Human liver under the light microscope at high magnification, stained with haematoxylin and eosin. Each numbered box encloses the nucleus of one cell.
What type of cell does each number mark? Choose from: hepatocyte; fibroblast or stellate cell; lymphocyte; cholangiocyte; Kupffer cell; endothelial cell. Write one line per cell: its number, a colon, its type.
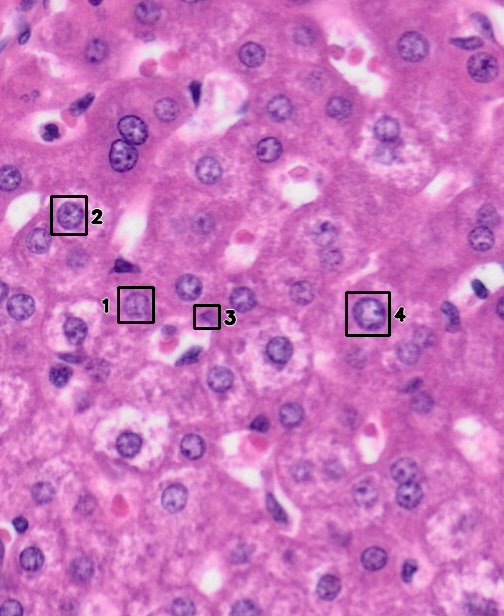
1: hepatocyte
2: hepatocyte
3: fibroblast or stellate cell
4: hepatocyte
